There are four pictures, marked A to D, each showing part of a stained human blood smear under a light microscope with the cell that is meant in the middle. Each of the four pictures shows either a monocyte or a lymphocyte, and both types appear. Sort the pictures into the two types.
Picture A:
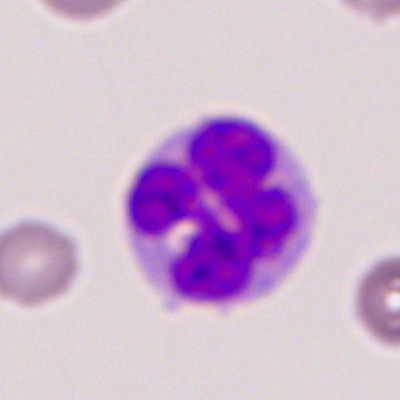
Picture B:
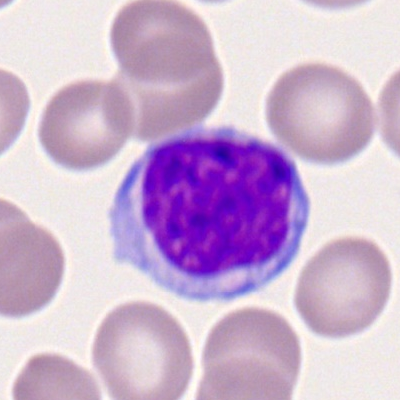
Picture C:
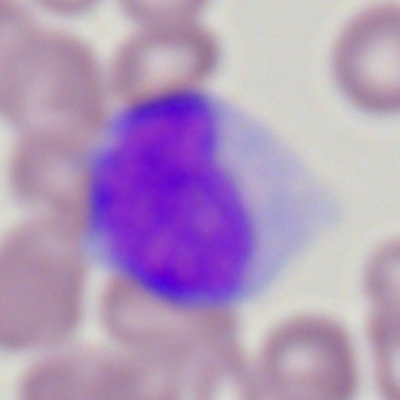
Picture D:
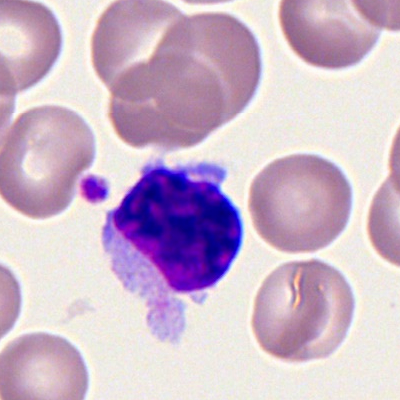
A: monocyte
B: lymphocyte
C: monocyte
D: lymphocyte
